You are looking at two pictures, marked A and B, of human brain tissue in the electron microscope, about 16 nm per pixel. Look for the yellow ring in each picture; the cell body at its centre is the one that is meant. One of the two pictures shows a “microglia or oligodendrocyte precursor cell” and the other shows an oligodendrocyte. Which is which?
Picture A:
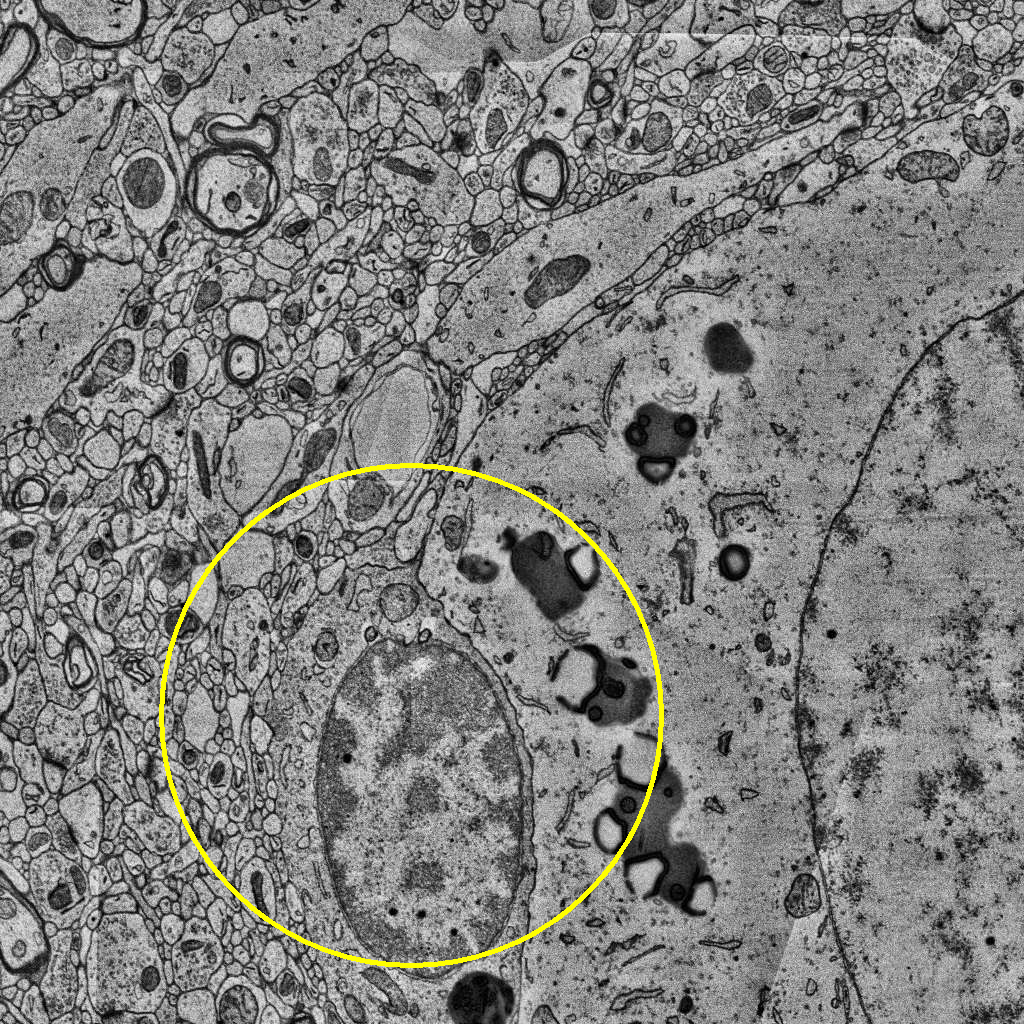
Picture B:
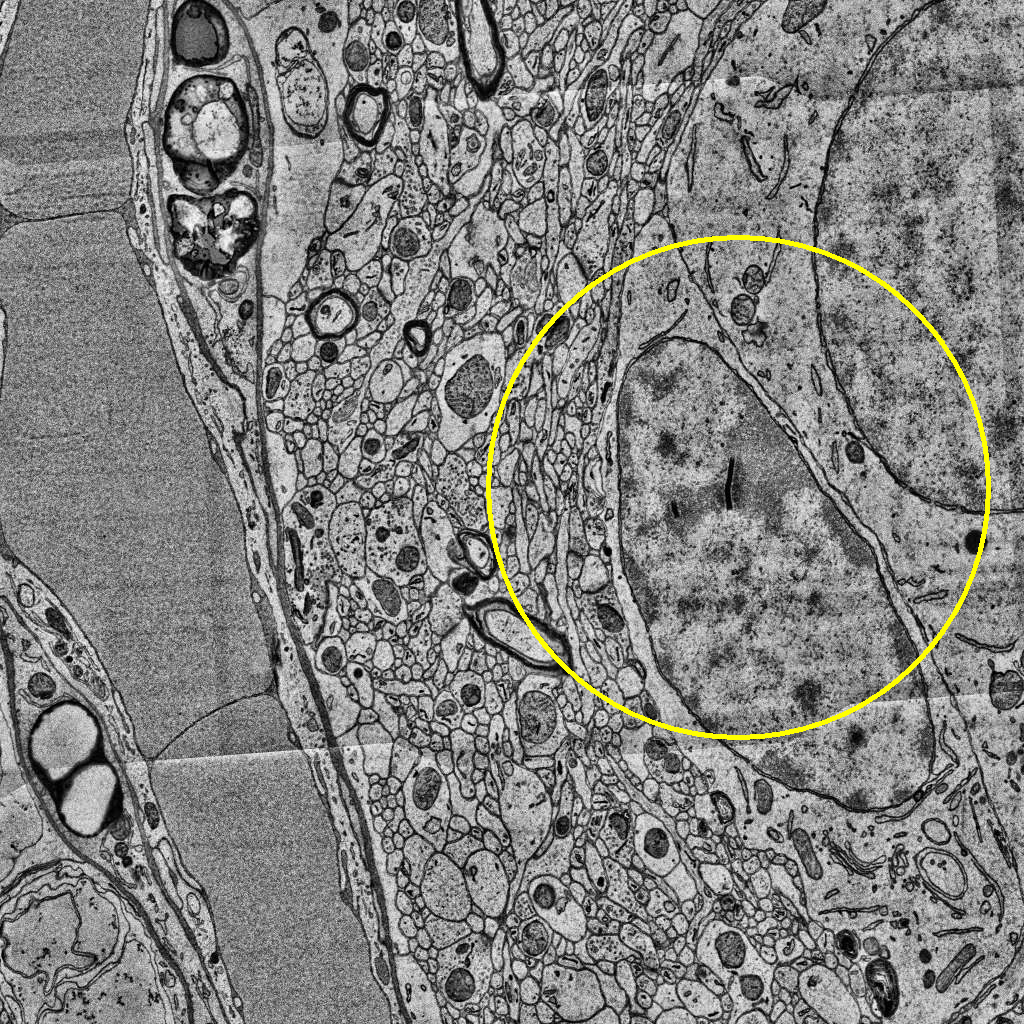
Picture A shows an oligodendrocyte and picture B shows a “microglia or oligodendrocyte precursor cell”.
